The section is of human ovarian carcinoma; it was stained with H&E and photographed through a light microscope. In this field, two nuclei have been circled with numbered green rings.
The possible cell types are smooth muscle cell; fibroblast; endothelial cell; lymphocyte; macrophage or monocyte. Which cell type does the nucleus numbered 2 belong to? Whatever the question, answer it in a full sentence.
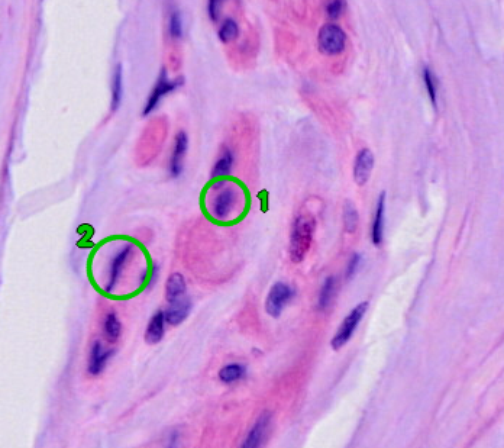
The cell whose nucleus carries the number 2 is an endothelial cell.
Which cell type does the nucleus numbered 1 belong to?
The marked cell bearing number 1 is a smooth muscle cell.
